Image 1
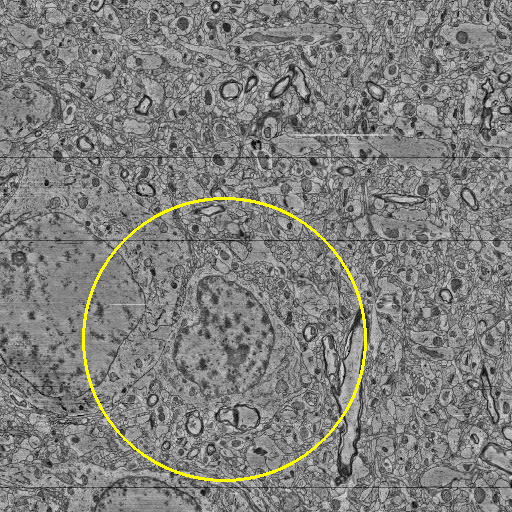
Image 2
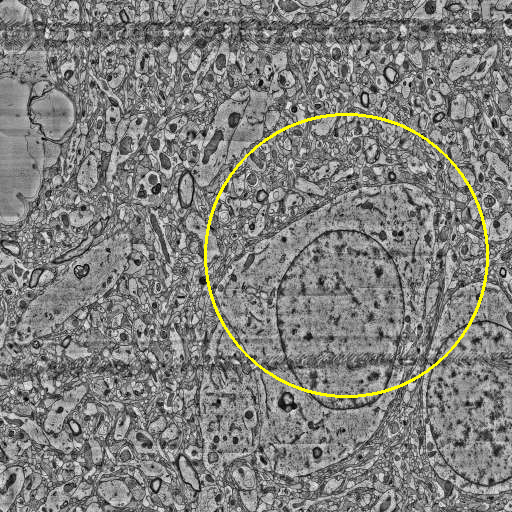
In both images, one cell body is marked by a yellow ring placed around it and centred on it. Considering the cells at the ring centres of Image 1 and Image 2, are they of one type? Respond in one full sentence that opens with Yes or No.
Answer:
No, two types apply to the ring-centred cells of Image 1 and Image 2.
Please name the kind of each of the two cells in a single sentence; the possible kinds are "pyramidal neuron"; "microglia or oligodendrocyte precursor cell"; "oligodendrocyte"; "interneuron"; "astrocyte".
In the first picture the ring is centred on an interneuron, and in the second on a pyramidal neuron.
